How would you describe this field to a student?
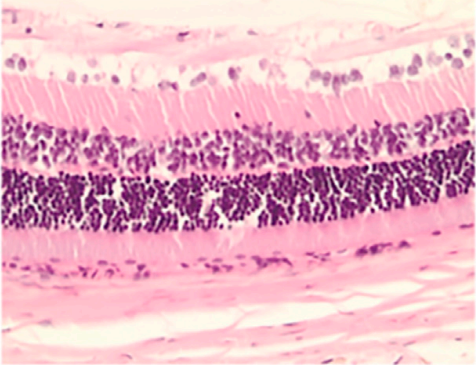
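This is a section of retina with its layers stacked in parallel bands. Near the top surface a sparse row of larger, rounded, pale-purple ganglion cell nuclei lies over a broad pink fibrous inner plexiform layer. Below that a band of looser, paler nuclei forms the inner nuclear layer, and beneath it a thicker band of small, tightly packed, very dark nuclei forms the outer nuclear layer. Deeper still a pale striated layer of photoreceptors leads to a thin row of flattened nuclei resting on pink connective tissue.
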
